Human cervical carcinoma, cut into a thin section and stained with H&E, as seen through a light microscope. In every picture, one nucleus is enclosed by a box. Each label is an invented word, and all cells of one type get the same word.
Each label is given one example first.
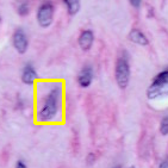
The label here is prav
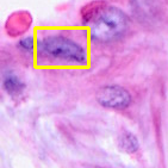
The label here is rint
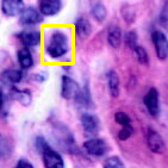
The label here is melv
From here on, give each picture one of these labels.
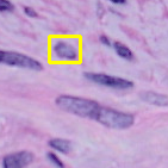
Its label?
prav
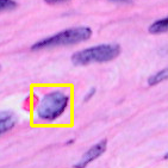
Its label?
rint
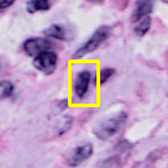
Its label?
melv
